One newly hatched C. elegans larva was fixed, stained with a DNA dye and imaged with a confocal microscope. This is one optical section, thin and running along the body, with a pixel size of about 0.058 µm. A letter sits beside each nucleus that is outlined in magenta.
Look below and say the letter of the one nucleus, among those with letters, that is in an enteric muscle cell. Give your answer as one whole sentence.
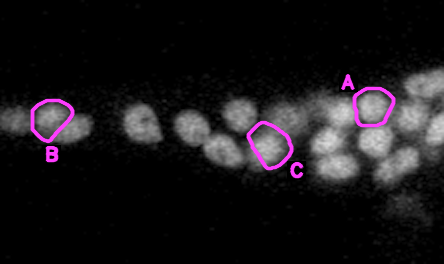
Nucleus A belongs to an enteric muscle cell.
